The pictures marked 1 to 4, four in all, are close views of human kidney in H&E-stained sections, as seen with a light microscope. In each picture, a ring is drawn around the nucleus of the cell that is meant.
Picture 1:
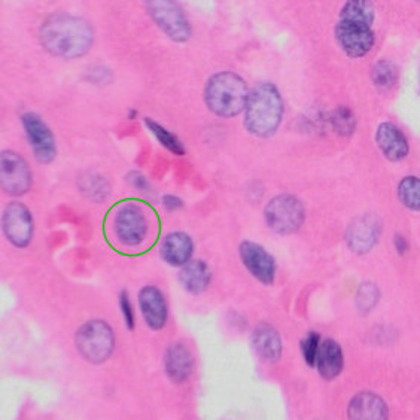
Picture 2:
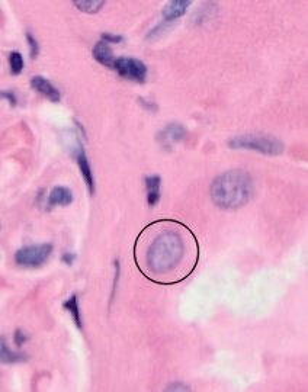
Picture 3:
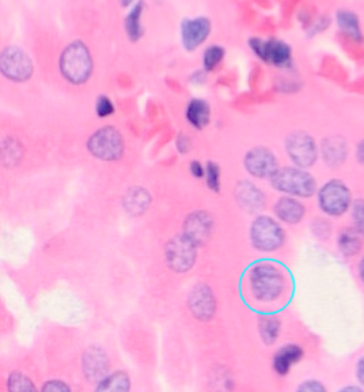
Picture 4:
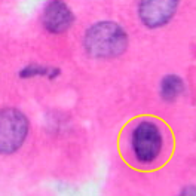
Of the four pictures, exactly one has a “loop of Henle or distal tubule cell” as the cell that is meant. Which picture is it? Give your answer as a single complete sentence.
It is picture 1 that shows the “loop of Henle or distal tubule cell”.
